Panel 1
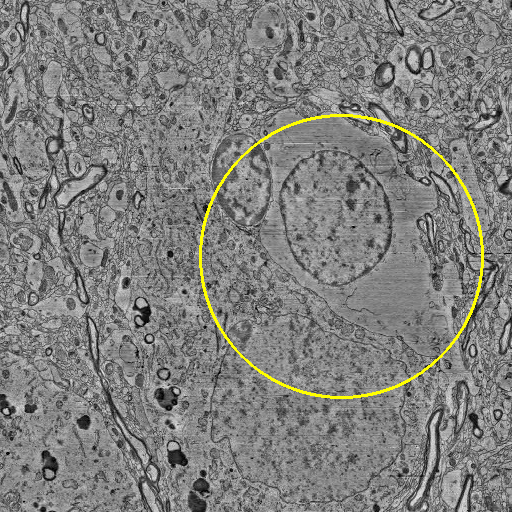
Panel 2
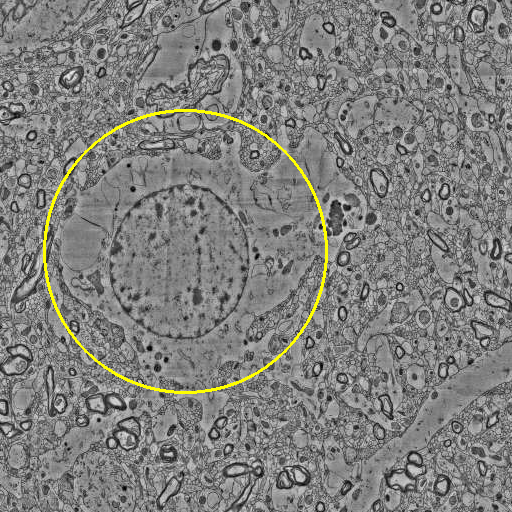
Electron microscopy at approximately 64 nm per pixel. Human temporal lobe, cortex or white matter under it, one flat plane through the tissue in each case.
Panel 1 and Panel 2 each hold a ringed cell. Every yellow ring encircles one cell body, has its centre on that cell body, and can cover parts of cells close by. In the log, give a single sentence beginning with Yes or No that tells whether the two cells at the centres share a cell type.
Yes, in Panel 1 and Panel 2 the centred cells share a cell type.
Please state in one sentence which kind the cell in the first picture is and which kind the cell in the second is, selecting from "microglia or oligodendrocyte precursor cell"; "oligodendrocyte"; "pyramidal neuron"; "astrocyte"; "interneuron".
Both rings mark an astrocyte, one in each picture.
